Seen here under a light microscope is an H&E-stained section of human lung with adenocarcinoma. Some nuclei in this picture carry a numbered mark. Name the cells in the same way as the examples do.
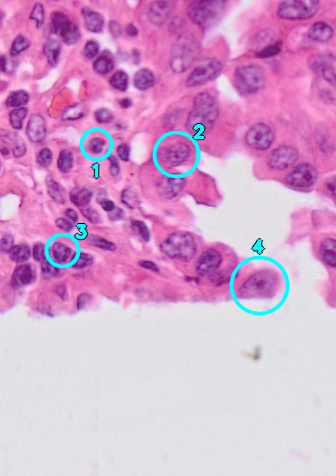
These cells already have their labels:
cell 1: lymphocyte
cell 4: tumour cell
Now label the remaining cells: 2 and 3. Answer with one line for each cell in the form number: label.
2: tumour cell
3: lymphocyte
